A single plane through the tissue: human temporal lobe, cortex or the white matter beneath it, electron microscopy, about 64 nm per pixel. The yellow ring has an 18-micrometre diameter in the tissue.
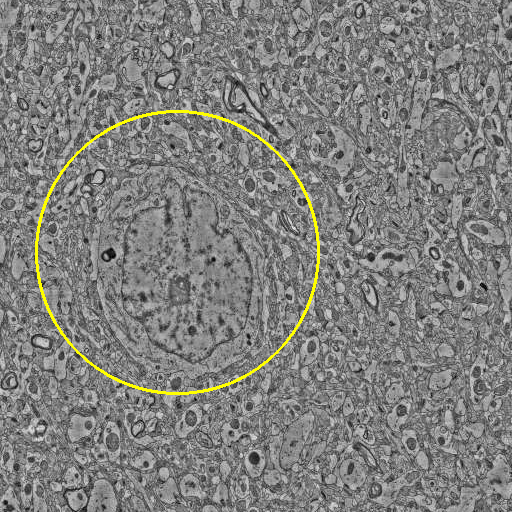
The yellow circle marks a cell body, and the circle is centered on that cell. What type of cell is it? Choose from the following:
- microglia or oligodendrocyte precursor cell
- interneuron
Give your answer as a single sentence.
This cell body belongs to an interneuron.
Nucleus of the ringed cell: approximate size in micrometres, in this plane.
Approximately 11 by 8 micrometers in this plane.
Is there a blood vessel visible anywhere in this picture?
No.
